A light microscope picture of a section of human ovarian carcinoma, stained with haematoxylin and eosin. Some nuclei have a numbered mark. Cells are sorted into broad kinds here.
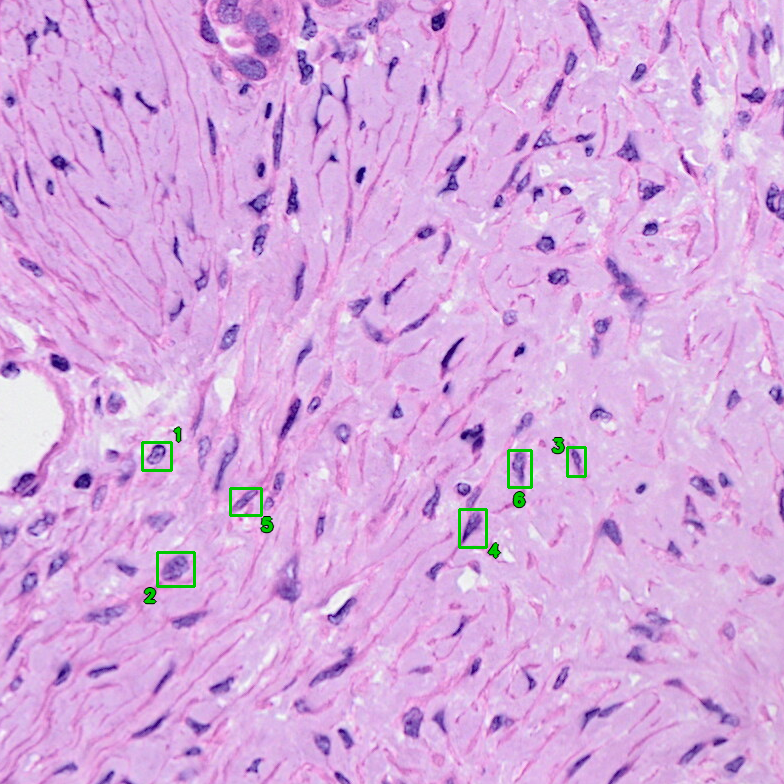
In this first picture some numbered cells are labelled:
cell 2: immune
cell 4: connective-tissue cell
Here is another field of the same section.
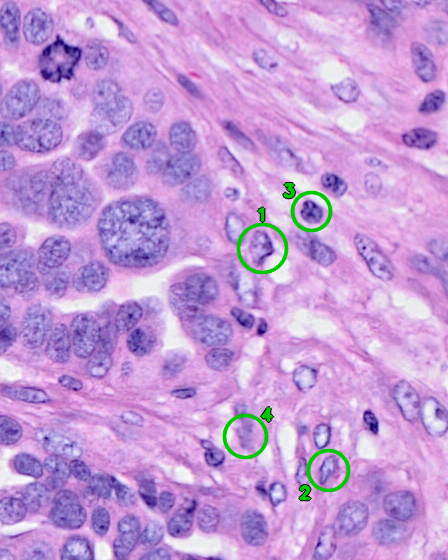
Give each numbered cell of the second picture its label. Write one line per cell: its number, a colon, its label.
1: connective-tissue cell
2: connective-tissue cell
3: immune
4: connective-tissue cell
